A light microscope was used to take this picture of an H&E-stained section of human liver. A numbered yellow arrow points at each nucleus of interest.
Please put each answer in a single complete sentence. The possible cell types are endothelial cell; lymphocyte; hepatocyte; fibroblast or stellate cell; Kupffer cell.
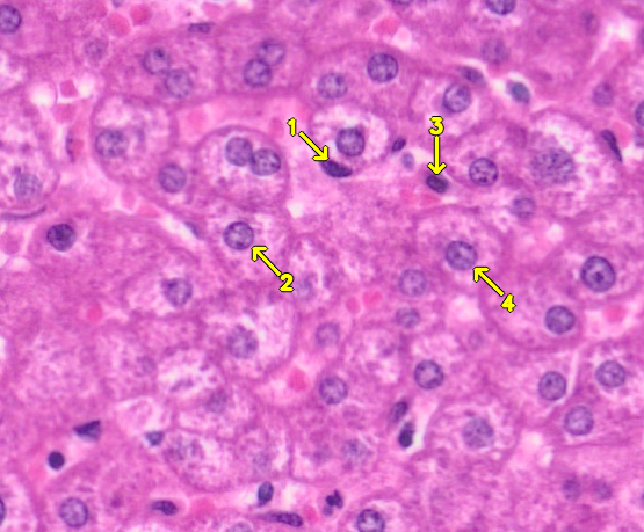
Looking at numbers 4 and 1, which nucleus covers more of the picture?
At about 1.5 times the area of nucleus 1, nucleus 4 is the larger of the two.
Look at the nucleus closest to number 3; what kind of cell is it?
The cell nearest to number 3 is a lymphocyte.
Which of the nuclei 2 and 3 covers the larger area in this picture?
Nucleus 2 is the larger one, covering about 3 times the area of nucleus 3.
